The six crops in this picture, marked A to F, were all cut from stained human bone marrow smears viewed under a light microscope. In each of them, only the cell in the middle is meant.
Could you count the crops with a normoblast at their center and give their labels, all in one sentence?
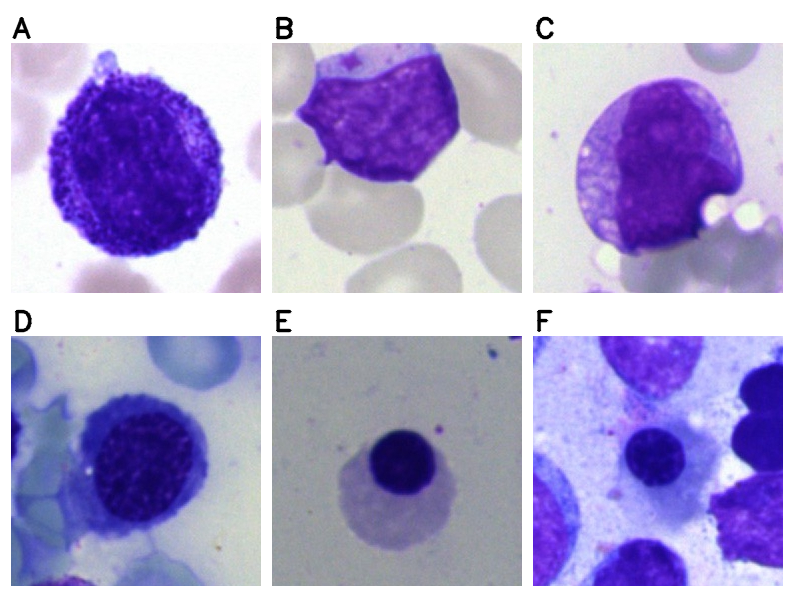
Those crops showing normoblasts, three in all, are D, E and F.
